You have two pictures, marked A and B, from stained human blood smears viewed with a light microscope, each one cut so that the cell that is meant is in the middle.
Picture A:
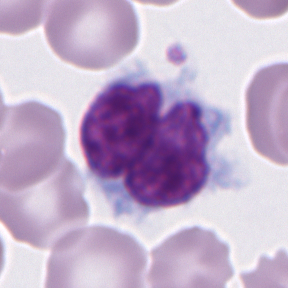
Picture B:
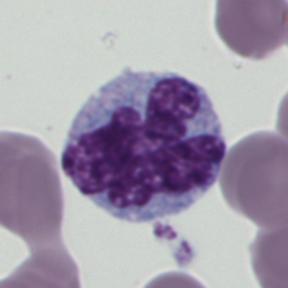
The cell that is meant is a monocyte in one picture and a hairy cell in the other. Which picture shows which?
A: hairy cell
B: monocyte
